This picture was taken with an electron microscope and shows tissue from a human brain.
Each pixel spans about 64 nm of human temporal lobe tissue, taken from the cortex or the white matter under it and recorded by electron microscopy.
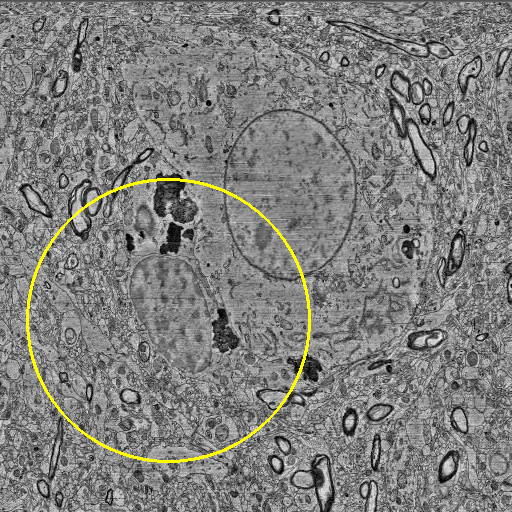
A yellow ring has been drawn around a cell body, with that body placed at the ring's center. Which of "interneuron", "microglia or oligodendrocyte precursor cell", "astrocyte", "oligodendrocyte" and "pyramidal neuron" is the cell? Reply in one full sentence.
In this picture, an oligodendrocyte is the cell at the center of the yellow ring.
